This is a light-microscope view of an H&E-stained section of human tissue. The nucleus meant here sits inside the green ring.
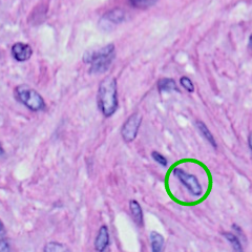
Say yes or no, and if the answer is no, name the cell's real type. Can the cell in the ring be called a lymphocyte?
No, it is a fibroblast.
